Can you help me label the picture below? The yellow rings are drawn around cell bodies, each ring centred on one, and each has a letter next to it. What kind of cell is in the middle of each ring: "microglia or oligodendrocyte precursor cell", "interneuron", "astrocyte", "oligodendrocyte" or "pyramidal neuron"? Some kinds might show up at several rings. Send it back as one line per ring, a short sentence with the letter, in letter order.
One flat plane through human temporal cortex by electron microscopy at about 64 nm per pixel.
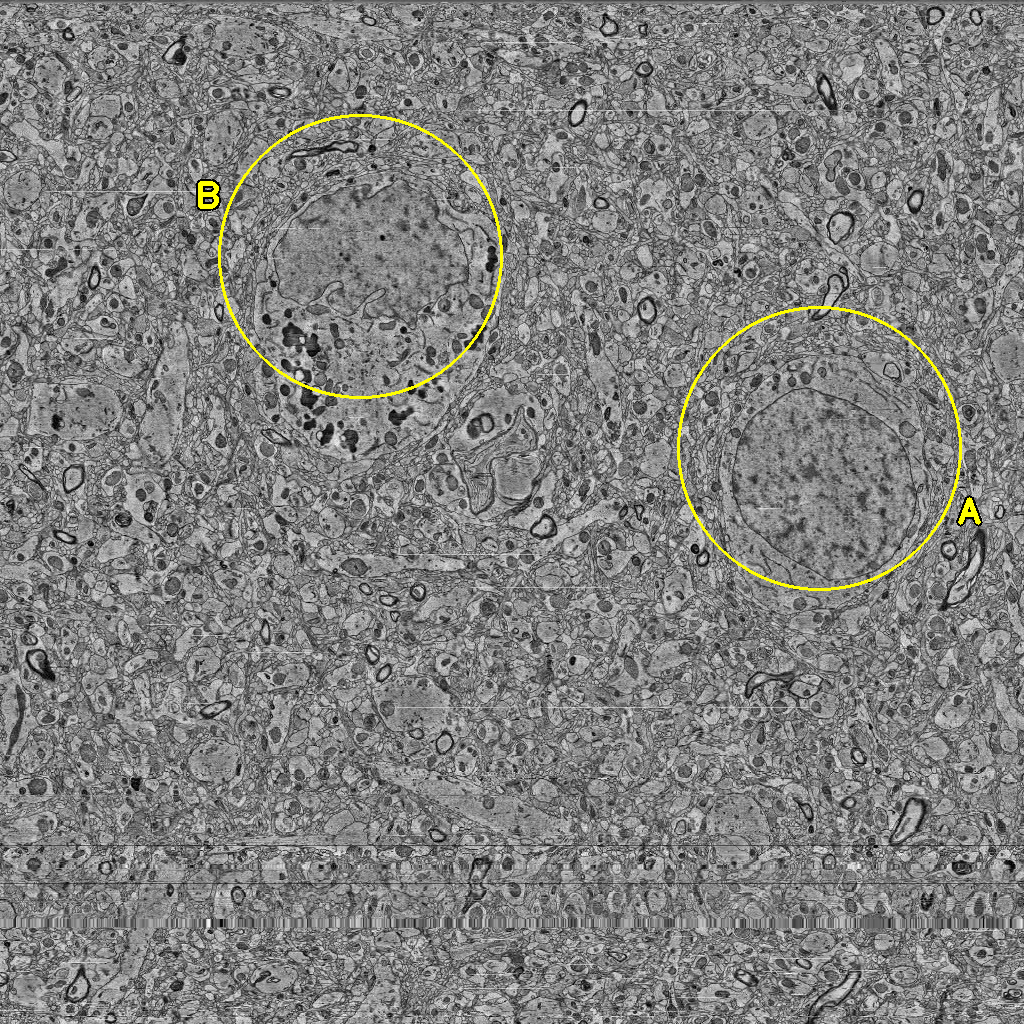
Ring A has a pyramidal neuron in the middle.
Ring B has an interneuron in the middle.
